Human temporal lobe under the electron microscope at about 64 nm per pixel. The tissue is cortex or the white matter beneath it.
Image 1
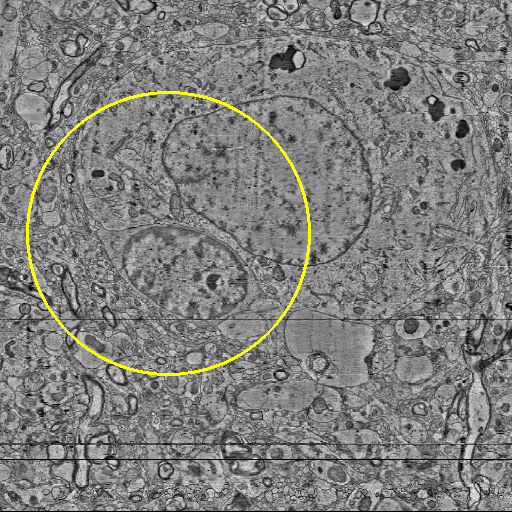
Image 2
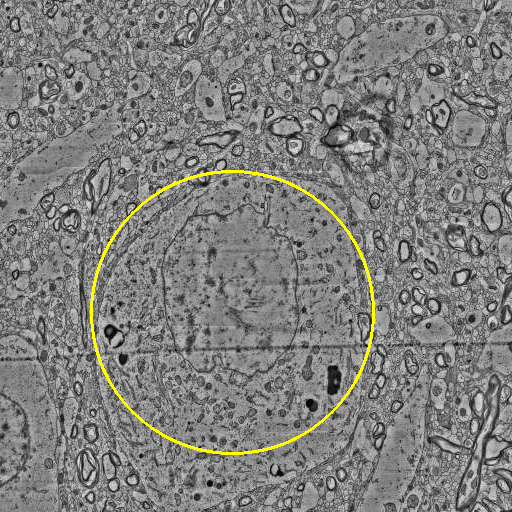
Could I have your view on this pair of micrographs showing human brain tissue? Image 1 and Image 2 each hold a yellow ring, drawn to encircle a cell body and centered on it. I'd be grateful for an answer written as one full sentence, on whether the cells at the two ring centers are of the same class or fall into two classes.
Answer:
The cells at the centers of the two rings fall into two classes.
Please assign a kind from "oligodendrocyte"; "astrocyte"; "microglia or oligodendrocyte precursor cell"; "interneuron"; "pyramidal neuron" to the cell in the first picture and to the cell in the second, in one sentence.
In the first picture we have an oligodendrocyte, and in the second, a pyramidal neuron.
